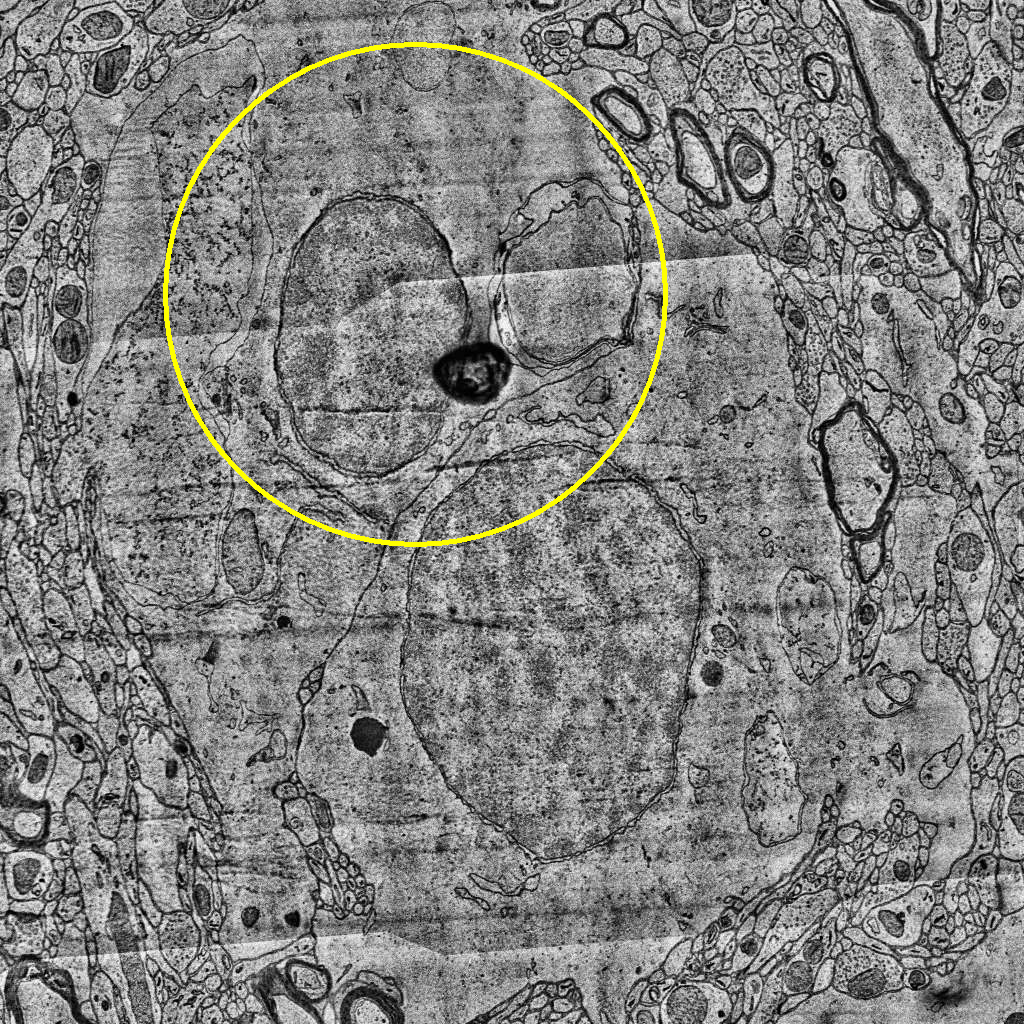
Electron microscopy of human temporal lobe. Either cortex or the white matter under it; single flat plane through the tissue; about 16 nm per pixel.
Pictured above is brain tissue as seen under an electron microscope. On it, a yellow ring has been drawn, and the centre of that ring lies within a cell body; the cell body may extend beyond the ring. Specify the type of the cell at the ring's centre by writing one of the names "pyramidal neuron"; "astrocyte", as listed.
astrocyte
